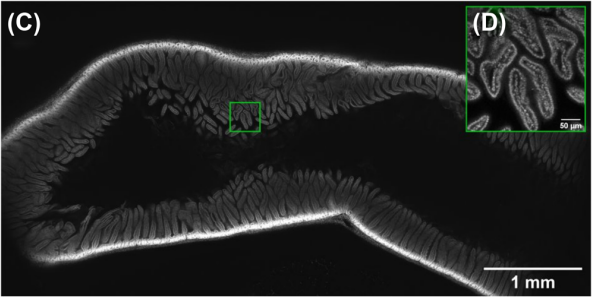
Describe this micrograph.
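A bright continuous band marks the densely nucleated wall, and from it rows of elongated, finger-like projections crowd into the lumen on both sides, giving a comb-like pattern across the whole length. In the enlarged inset the individual nuclei become visible: they line the edges of each elongated structure as a single bright row, outlining the epithelium, while the inner cores hold fewer, more scattered nuclei.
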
